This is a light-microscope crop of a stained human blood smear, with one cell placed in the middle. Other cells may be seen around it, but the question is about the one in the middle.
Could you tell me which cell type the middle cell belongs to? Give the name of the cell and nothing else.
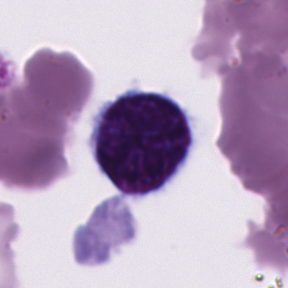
hairy cell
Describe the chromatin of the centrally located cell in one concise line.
Just so you know, its chromatin is coarsely clumped.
